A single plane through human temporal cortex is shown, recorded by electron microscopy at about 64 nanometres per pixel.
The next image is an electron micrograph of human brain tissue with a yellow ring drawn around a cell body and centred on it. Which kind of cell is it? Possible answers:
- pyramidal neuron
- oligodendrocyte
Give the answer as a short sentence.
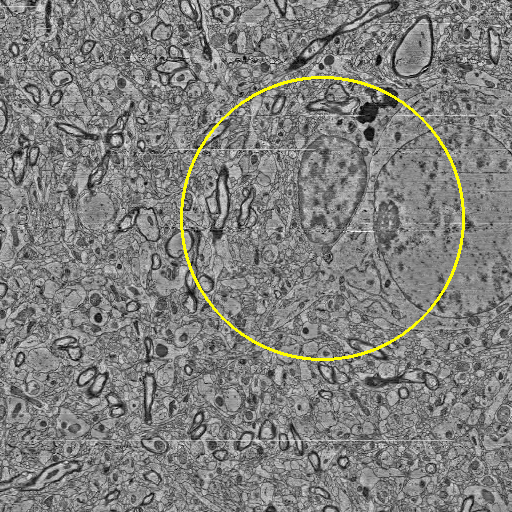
In the ring's centre is an oligodendrocyte.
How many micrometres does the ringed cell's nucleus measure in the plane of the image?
The ringed cell's nucleus is roughly 7 by 4 micrometres and clearly longer than it is wide in this plane.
